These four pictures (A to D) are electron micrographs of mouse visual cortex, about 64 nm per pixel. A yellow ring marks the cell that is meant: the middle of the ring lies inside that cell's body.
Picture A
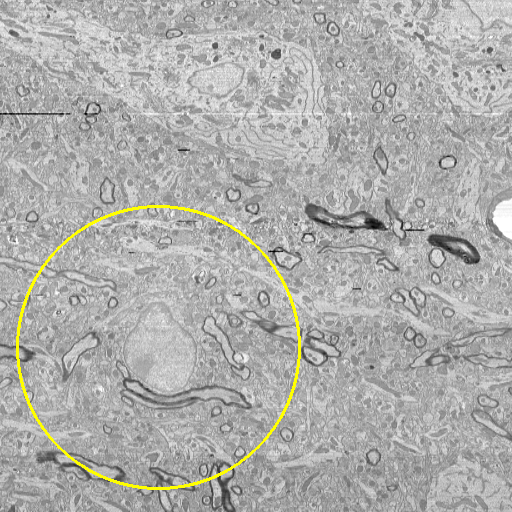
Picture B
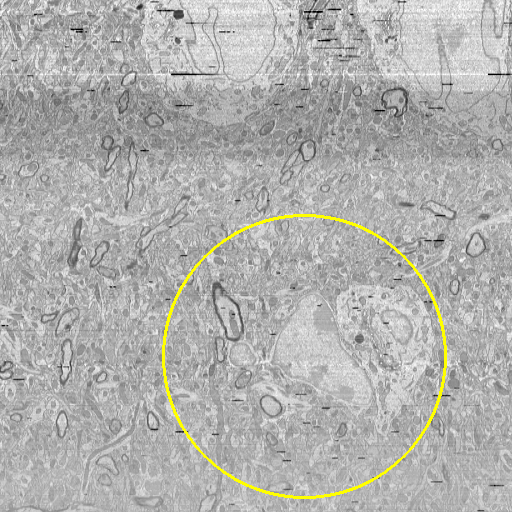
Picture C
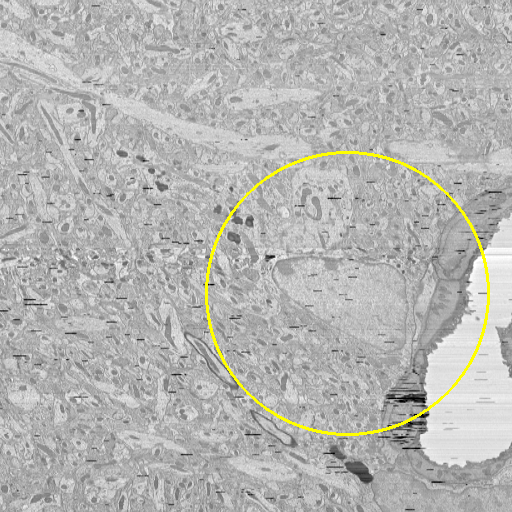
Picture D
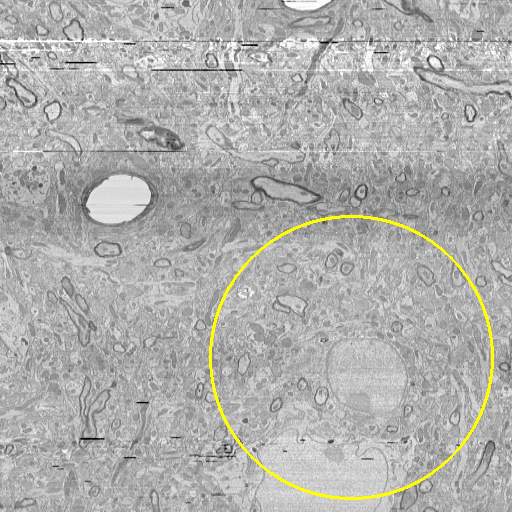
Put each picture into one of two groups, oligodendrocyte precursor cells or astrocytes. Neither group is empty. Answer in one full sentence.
Picture B shows an oligodendrocyte precursor cell; pictures A, C and D show astrocytes.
